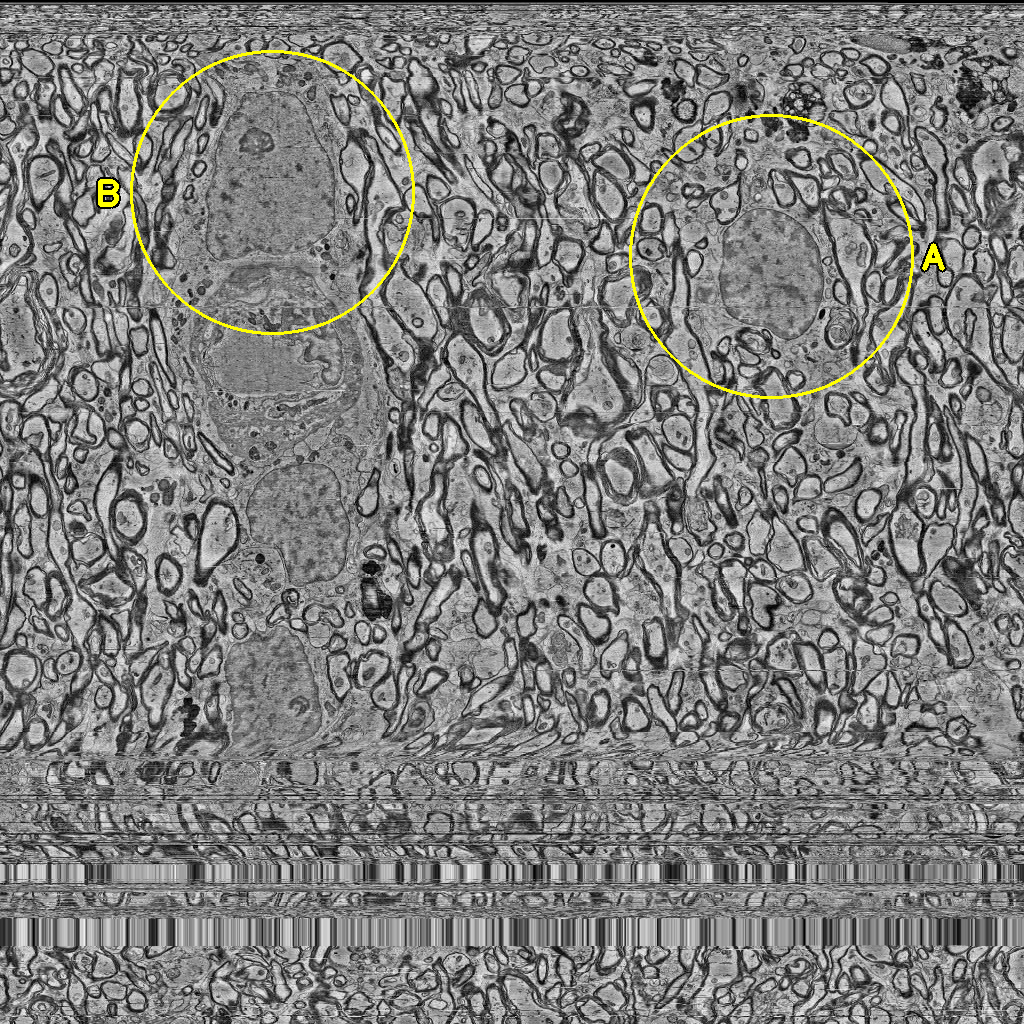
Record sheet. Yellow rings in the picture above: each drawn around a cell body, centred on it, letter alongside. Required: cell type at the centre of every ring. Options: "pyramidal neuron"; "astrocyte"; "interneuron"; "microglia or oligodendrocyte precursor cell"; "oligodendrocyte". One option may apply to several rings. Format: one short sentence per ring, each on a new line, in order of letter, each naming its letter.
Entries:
Ring A contains a microglial cell or oligodendrocyte precursor cell at the centre.
Ring B contains an astrocyte at the centre.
